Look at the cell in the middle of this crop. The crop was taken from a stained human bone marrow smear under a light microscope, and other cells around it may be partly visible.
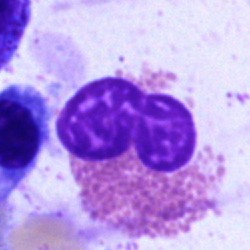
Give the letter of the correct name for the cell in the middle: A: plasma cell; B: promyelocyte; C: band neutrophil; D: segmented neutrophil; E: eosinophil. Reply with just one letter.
E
